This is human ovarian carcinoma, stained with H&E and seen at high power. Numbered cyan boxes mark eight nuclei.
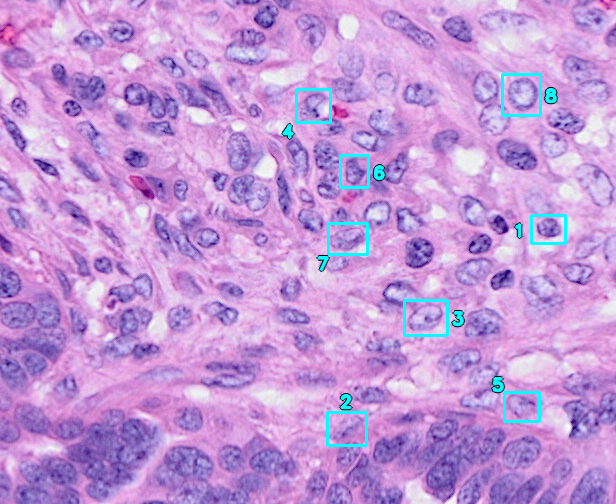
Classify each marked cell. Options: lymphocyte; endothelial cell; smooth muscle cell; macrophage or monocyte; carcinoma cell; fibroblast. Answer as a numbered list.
1. lymphocyte
2. fibroblast
3. fibroblast
4. endothelial cell
5. fibroblast
6. endothelial cell
7. fibroblast
8. fibroblast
